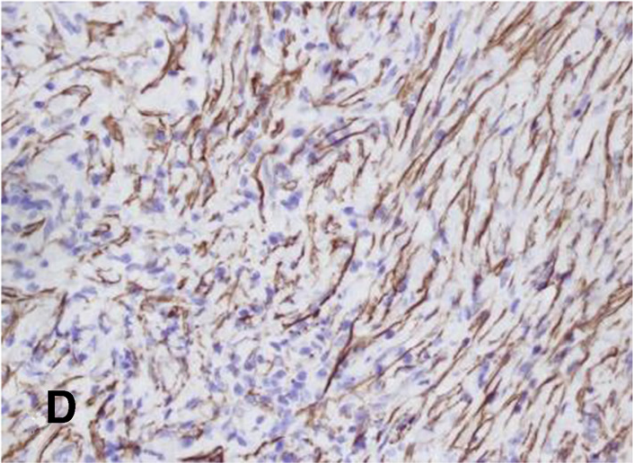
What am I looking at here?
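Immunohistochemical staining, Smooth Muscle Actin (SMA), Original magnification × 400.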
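This lesional tissue shows many slender spindle-shaped cells whose elongated cytoplasm is stained brown, running in parallel, streaming bundles. Between them lie many unstained cells with small round blue nuclei, especially toward one side of the field.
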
